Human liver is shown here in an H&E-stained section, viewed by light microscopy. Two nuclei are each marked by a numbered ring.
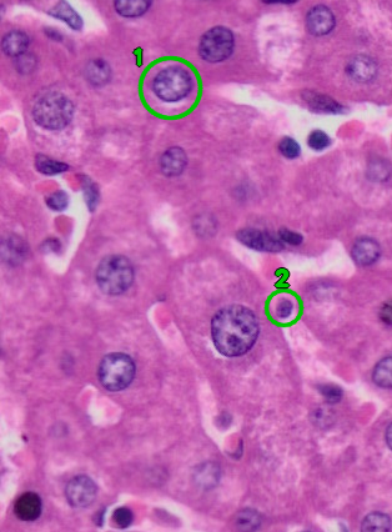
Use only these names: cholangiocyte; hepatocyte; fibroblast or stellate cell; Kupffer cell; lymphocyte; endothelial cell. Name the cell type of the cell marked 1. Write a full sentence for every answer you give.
Regarding cell 1, this one is a hepatocyte.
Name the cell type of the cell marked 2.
The cell with the number 2 is a lymphocyte.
